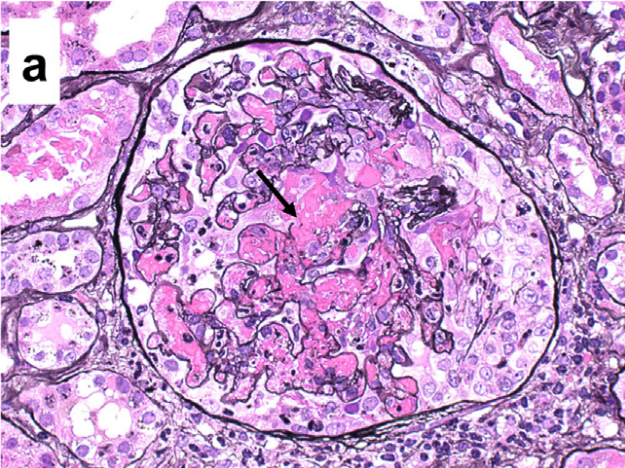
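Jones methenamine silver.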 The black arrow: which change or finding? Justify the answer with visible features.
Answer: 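The arrow points to a segment where the black silver-stained capillary wall is interrupted. Bright pink amorphous material lies at and beyond the arrowed site. That points to this answer: glomerular basement membrane rupture.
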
